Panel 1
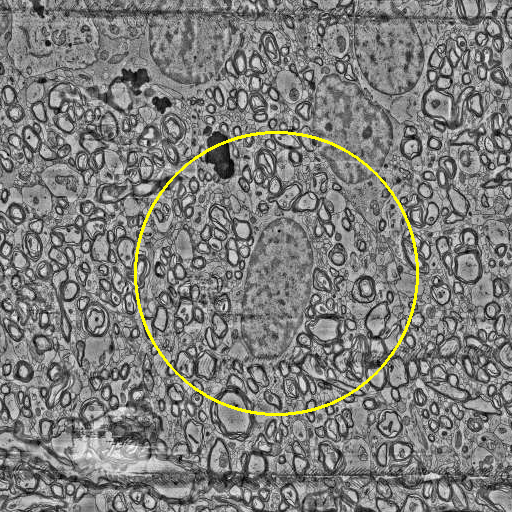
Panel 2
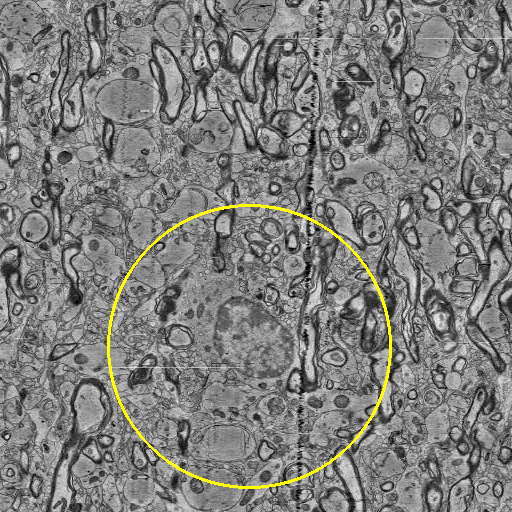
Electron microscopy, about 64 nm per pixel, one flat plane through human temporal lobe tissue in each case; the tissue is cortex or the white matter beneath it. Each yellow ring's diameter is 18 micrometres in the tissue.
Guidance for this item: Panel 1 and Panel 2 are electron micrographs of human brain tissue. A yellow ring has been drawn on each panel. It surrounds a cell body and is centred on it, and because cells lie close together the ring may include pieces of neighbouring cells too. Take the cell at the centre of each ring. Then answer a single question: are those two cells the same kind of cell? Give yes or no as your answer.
yes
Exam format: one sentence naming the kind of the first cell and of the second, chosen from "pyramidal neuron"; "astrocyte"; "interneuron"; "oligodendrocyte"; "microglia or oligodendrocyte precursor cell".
The second cell is an oligodendrocyte, just as the first is.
